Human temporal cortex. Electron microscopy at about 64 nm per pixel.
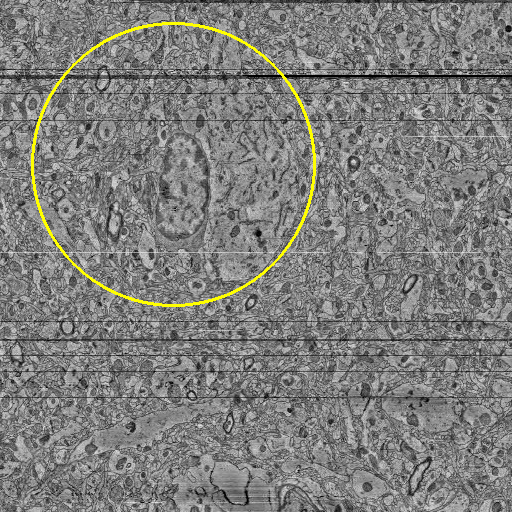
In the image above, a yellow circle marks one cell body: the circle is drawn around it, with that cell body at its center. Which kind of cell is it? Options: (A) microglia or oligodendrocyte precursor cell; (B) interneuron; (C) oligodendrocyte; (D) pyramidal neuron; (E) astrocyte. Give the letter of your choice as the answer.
C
